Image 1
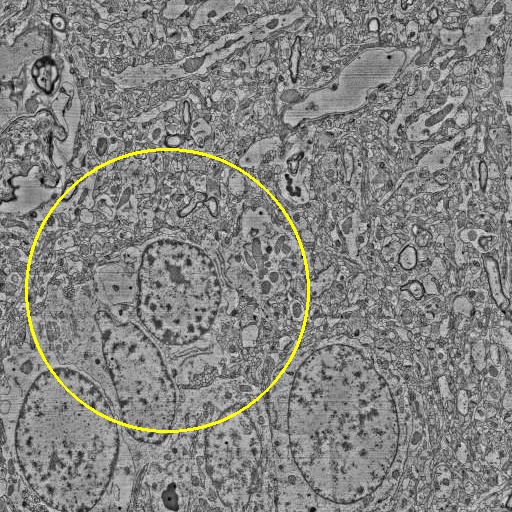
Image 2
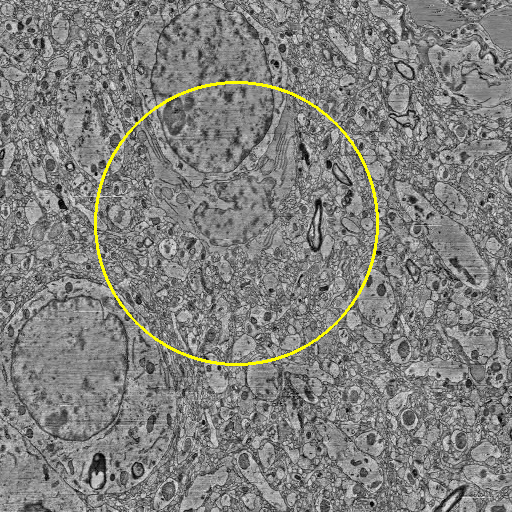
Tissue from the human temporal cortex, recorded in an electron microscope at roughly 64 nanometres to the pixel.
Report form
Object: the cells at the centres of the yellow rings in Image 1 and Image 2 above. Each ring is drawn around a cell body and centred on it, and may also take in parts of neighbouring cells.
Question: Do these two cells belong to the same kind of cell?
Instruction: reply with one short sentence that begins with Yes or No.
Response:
Yes, both belong to the same kind of cell.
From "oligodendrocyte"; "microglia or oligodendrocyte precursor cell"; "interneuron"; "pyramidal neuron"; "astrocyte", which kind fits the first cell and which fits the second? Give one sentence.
Each of the ringed cells, first and second, is an astrocyte.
